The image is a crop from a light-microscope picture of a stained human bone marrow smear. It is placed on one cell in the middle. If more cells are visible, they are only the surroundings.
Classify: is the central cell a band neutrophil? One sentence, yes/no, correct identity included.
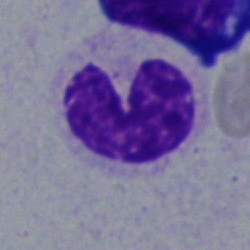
Yes, the identity of the central cell is that of a band neutrophil.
